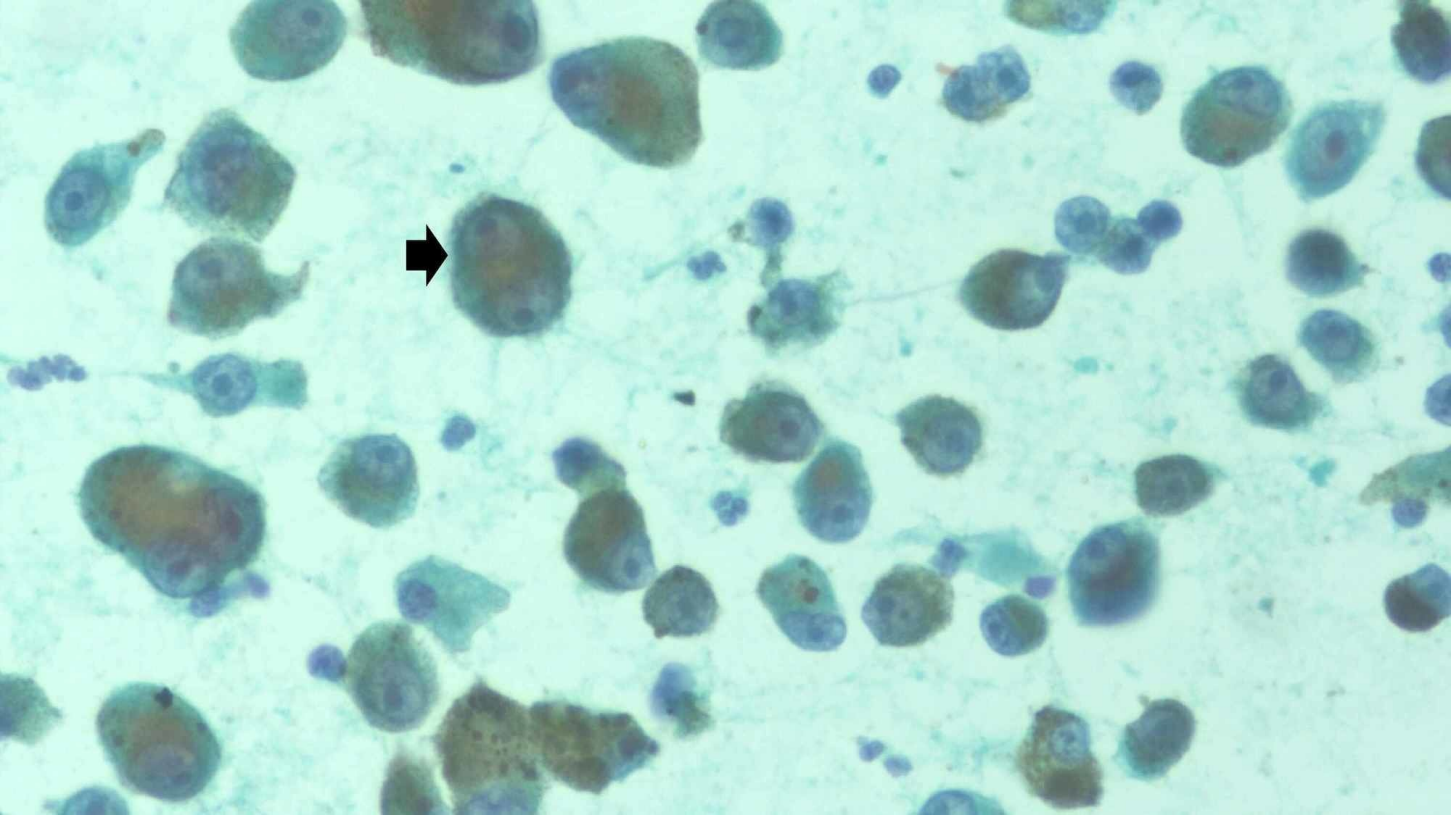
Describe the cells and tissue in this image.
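Dispersed large tumor cells lie singly in a pale background, many with melanin pigments in the cytoplasm. The cells are round to oval or polygonal, with ample cytoplasm tinted brown and finely granular in many, and some cells show coarser dark granules. Nuclei are round, often eccentric, with visible nucleoli, and some cells carry two nuclei. Small round lymphoid cells with dark blue nuclei and scant cytoplasm are scattered between them.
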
